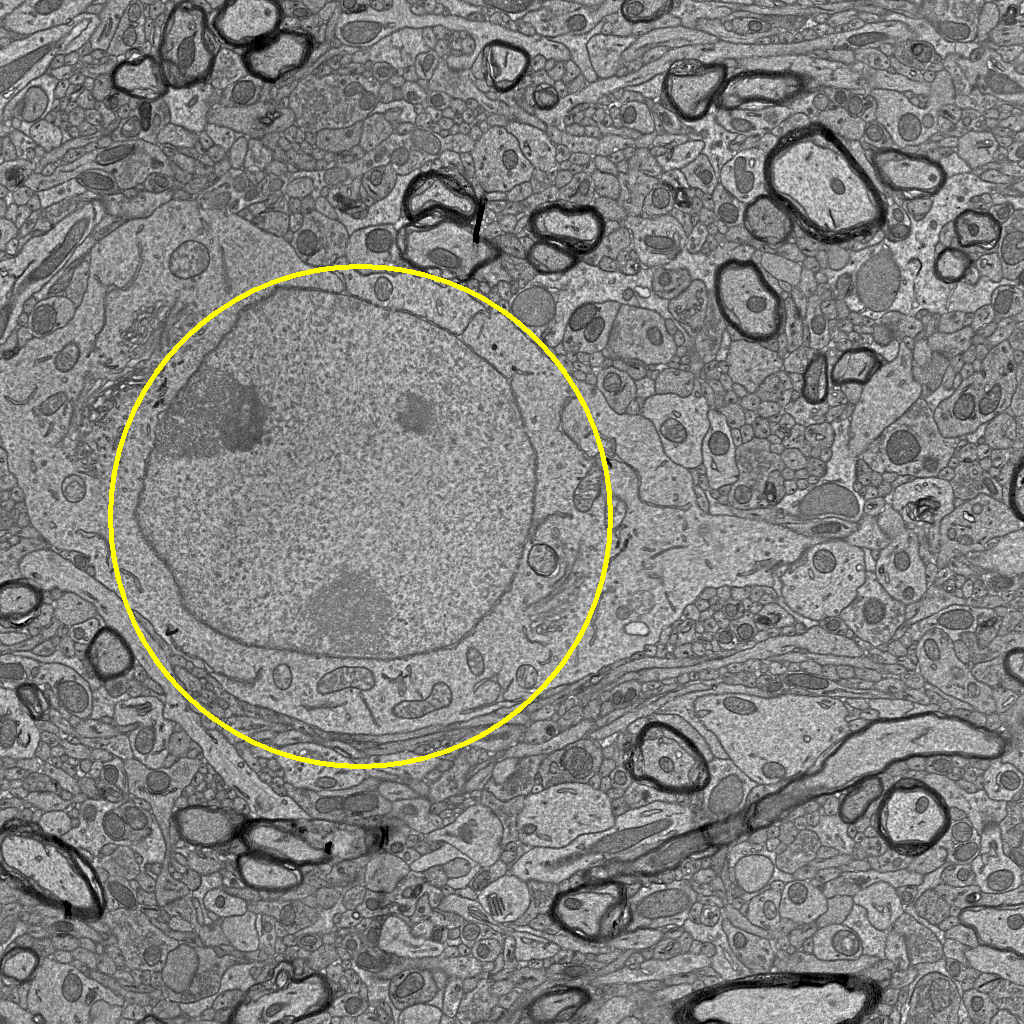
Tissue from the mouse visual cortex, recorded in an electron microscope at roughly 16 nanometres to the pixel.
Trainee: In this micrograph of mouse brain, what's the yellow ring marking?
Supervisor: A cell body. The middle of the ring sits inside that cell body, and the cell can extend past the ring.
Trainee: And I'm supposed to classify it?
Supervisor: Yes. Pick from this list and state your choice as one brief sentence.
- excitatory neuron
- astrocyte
The cell at the ring's center is an excitatory neuron.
